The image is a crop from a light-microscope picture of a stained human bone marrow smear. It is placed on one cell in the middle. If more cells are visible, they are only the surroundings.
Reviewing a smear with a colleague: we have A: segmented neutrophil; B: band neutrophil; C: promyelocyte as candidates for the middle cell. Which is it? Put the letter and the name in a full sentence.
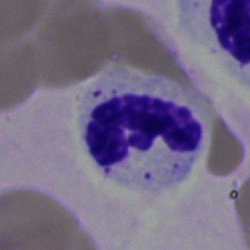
This one is option A, since the cell at the center is a segmented neutrophil.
